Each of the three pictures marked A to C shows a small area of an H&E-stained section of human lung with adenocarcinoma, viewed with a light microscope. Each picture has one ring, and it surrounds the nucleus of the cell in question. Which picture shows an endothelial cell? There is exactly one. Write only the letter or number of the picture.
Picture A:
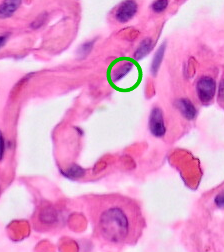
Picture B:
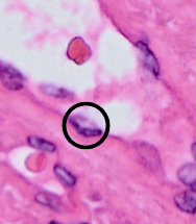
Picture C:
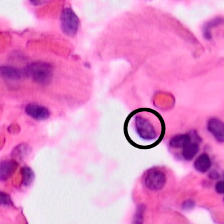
B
